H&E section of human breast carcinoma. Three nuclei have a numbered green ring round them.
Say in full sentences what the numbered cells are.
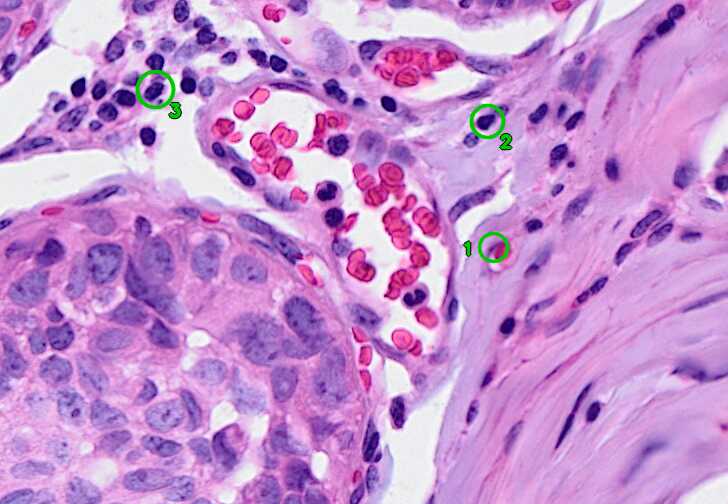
Cell 1 is an endothelial cell, cell 2 is a lymphocyte and cell 3 is a lymphocyte.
